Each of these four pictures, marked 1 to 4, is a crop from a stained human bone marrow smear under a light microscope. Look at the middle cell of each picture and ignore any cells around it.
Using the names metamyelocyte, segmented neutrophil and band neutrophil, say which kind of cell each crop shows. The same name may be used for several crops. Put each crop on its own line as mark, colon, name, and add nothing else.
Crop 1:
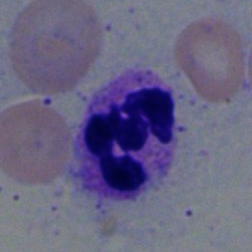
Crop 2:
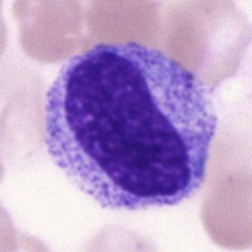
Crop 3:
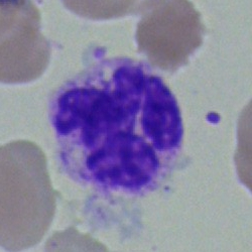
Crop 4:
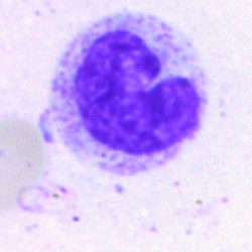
1: segmented neutrophil
2: metamyelocyte
3: segmented neutrophil
4: band neutrophil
